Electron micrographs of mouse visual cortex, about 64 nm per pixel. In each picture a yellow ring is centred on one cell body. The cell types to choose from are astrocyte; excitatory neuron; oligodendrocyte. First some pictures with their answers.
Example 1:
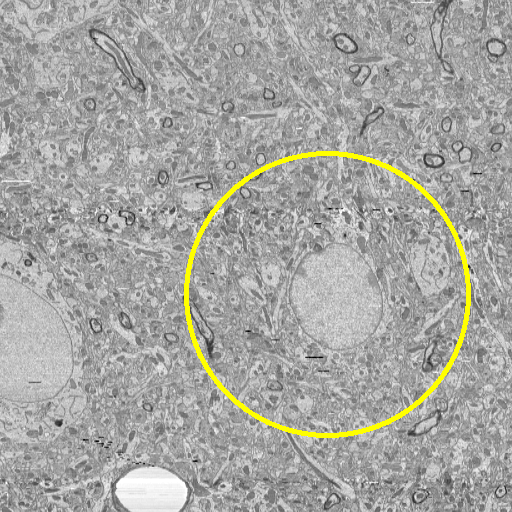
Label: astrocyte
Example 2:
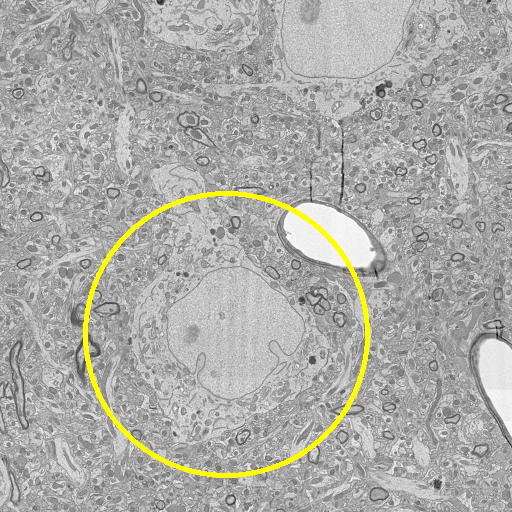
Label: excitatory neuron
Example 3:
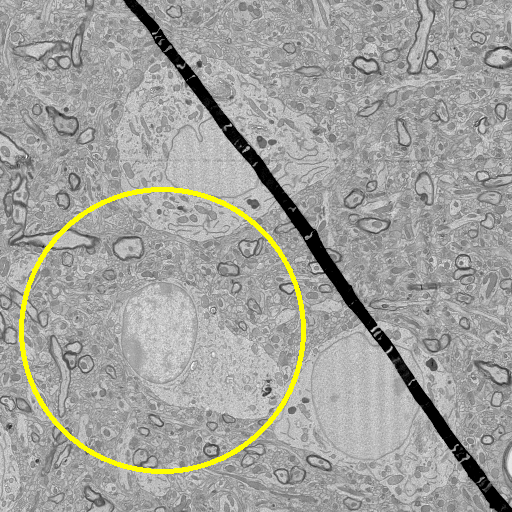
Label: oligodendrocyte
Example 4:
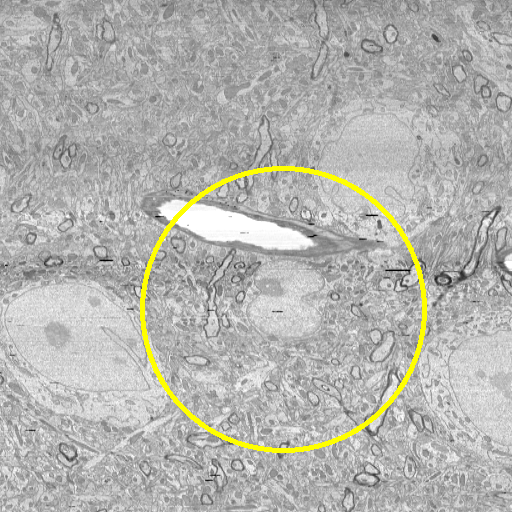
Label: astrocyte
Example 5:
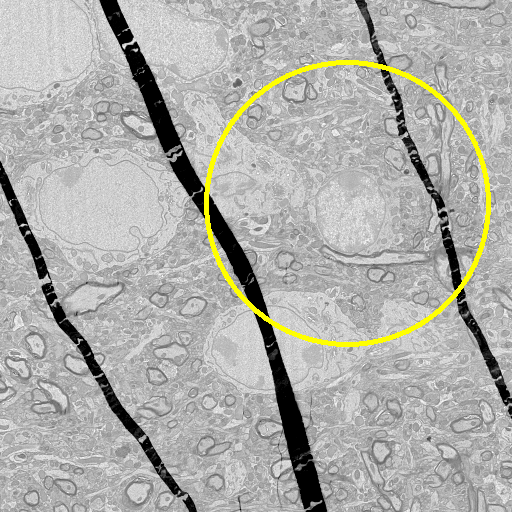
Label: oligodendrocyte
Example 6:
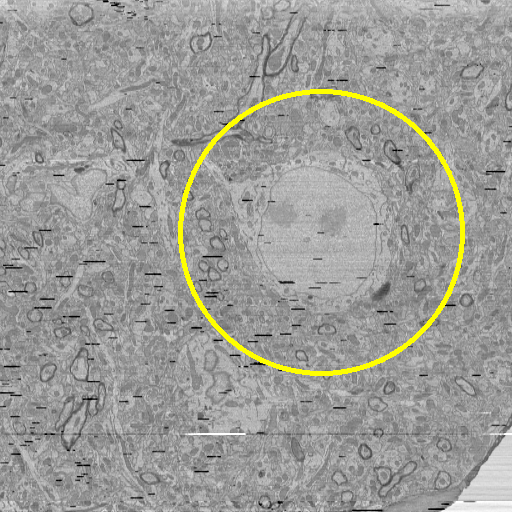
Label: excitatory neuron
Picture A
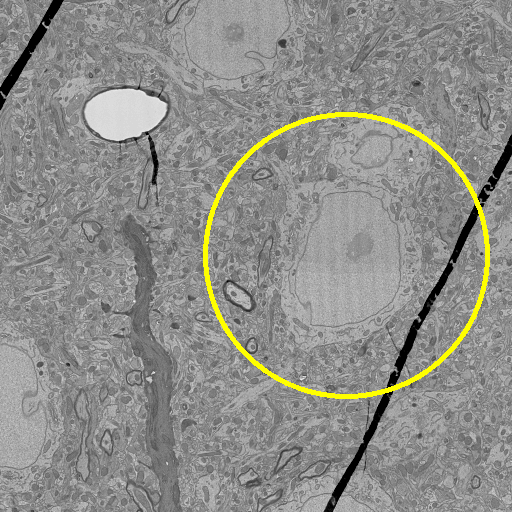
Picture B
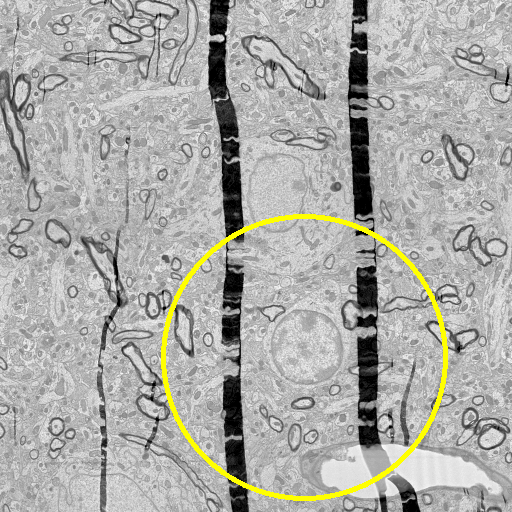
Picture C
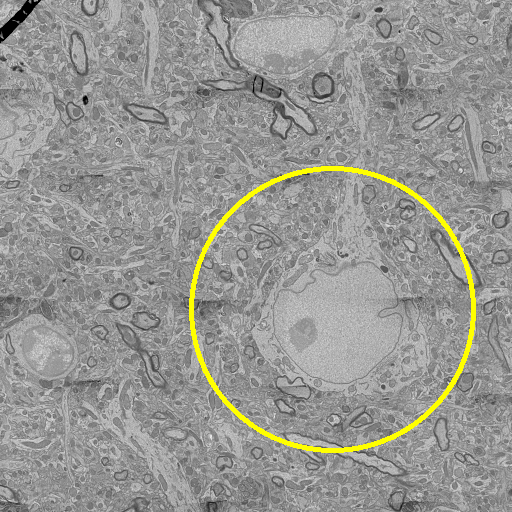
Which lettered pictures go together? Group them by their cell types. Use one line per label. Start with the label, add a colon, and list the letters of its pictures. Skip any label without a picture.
excitatory neuron: A, C
oligodendrocyte: B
